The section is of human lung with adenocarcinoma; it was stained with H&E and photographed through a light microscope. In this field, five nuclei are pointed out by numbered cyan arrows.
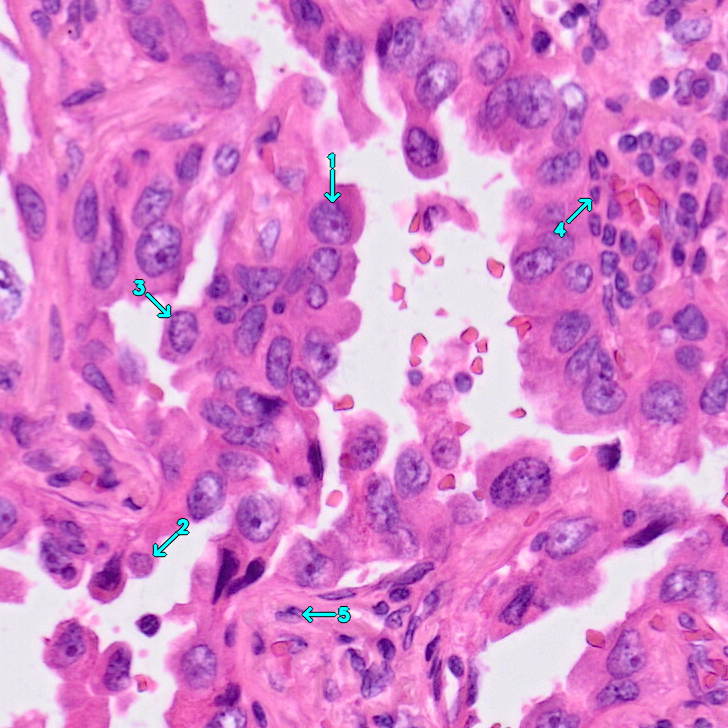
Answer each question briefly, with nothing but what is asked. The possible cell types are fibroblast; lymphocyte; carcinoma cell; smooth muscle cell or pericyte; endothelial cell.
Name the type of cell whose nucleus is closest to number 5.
endothelial cell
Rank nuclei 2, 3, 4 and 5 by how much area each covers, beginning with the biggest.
3, 2, 5, 4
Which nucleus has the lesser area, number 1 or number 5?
5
